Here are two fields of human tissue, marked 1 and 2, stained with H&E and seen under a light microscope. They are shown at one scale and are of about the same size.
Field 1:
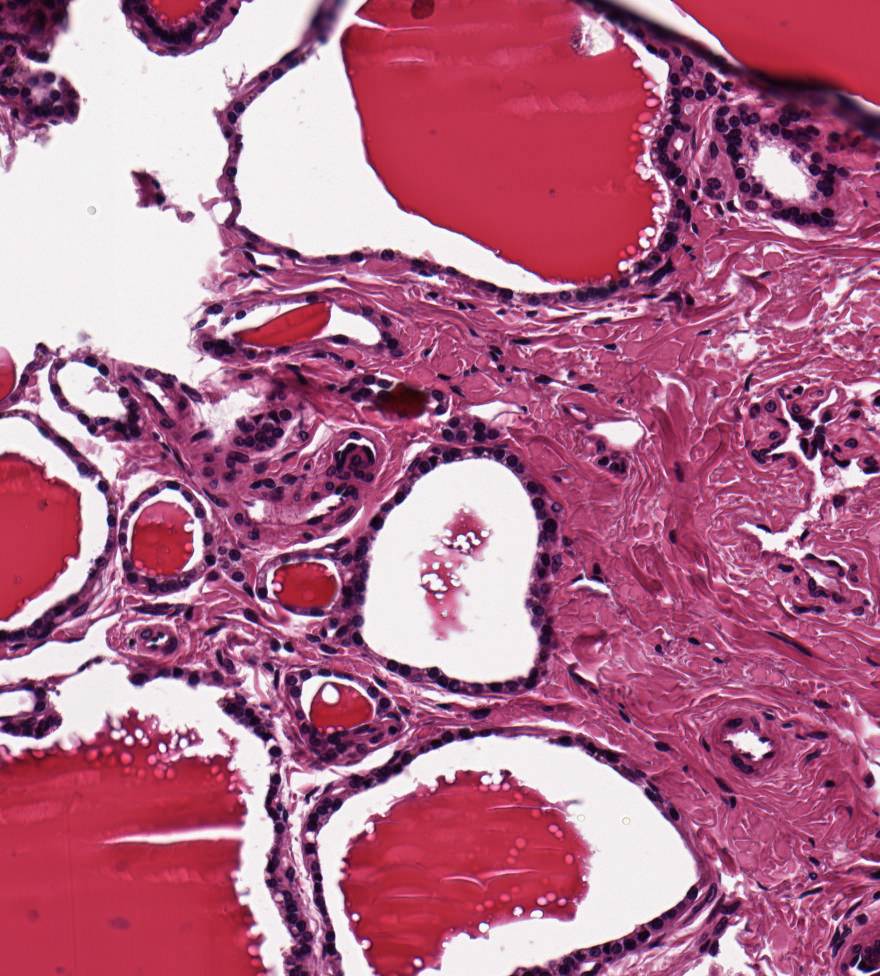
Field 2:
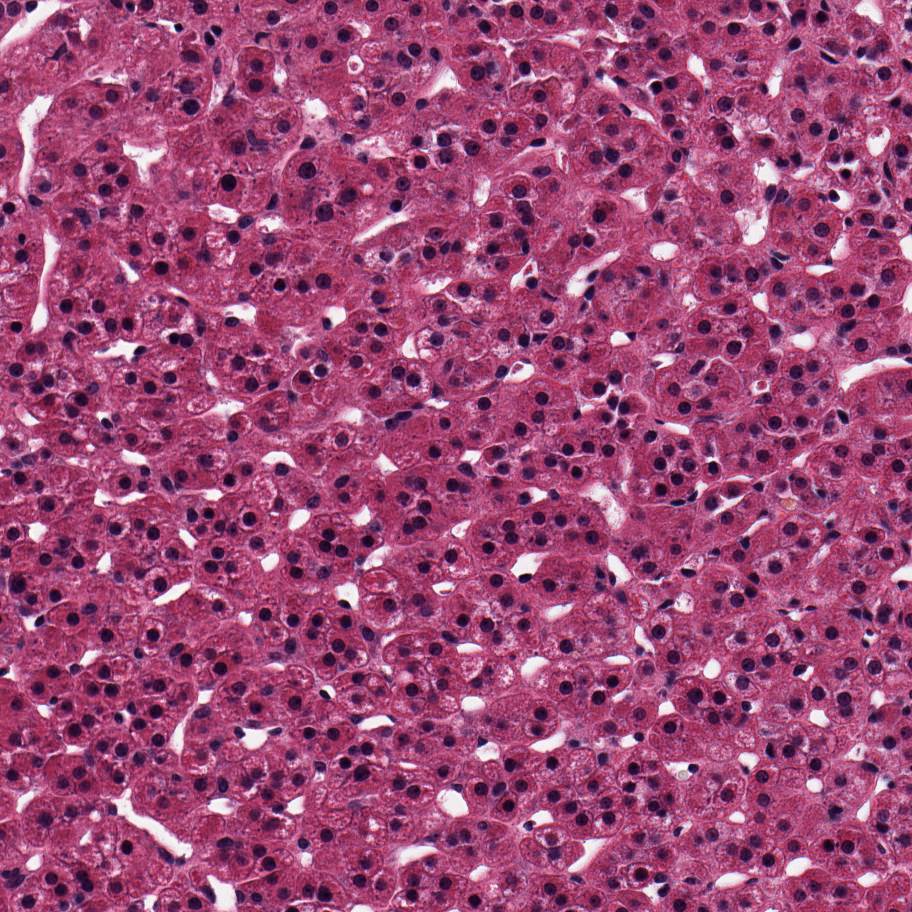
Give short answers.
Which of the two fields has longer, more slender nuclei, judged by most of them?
1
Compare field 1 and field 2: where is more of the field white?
1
